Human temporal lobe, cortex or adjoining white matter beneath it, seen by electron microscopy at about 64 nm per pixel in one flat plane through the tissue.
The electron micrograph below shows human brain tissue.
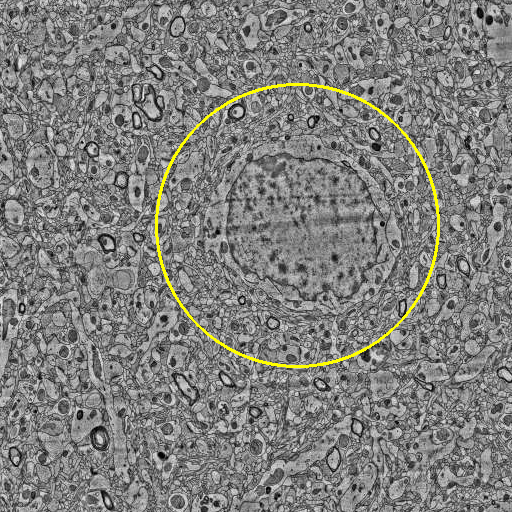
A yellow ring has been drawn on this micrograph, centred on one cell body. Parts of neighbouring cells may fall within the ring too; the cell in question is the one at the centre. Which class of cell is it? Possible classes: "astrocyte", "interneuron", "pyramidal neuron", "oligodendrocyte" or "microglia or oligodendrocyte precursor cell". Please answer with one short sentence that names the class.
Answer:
In the centre of the ring sits an interneuron.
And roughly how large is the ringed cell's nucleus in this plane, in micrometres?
The nucleus is approximately 10 micrometers across in this plane.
